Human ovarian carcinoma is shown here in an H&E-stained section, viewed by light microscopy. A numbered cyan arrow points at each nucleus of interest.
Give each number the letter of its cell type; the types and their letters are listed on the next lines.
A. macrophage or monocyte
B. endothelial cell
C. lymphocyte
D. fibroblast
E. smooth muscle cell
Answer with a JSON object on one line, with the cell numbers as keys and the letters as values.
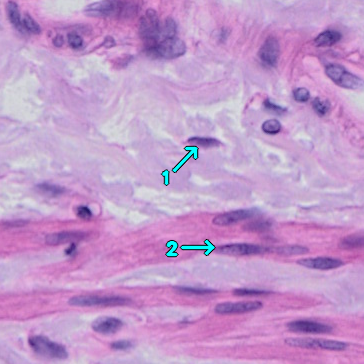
{"1": "D", "2": "E"}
